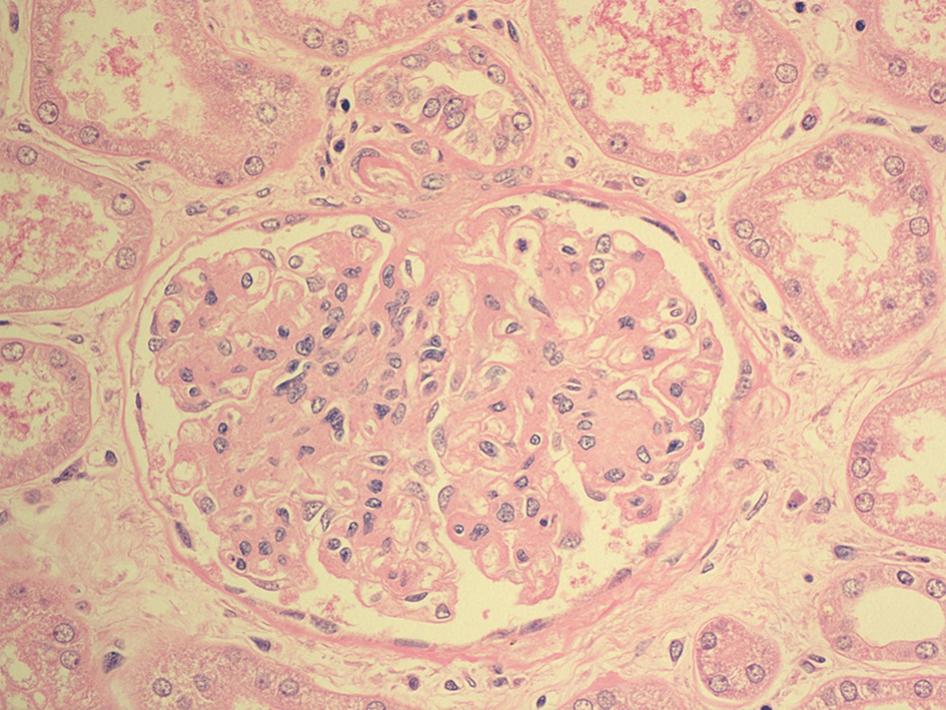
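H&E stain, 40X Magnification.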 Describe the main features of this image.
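A single enlarged glomerulus fills the centre of the field, its tuft divided into lobules that are expanded by abundant pale pink matrix between scattered dark oval nuclei, so that few open capillary lumens remain. A thin capsule encloses the tuft with a narrow clear space between them. Around it lie cross-sections of tubules lined by cuboidal cells with round nuclei and pink granular cytoplasm, set in a sparse interstitium.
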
